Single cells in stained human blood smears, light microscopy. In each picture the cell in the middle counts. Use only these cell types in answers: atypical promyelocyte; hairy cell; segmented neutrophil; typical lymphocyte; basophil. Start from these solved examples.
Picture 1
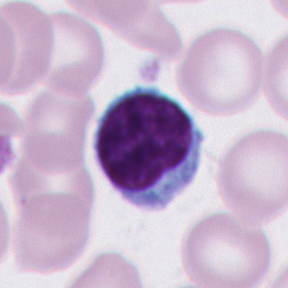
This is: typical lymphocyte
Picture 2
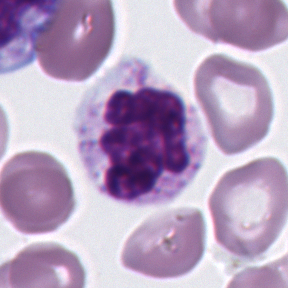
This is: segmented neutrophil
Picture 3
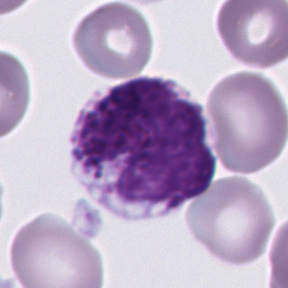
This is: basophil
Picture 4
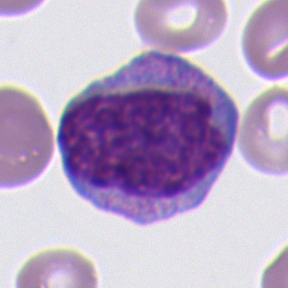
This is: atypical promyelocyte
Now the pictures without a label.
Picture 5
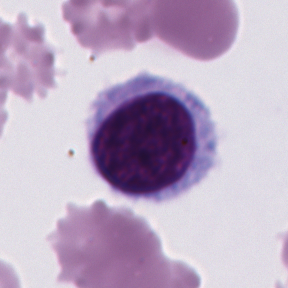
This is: hairy cell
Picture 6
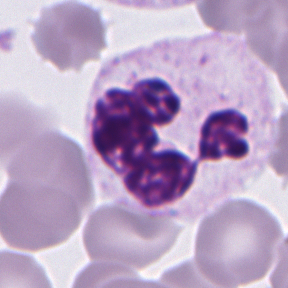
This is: segmented neutrophil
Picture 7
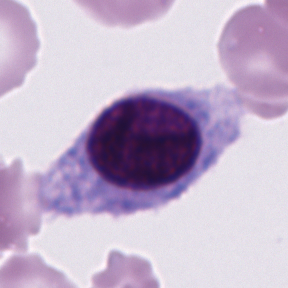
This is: hairy cell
